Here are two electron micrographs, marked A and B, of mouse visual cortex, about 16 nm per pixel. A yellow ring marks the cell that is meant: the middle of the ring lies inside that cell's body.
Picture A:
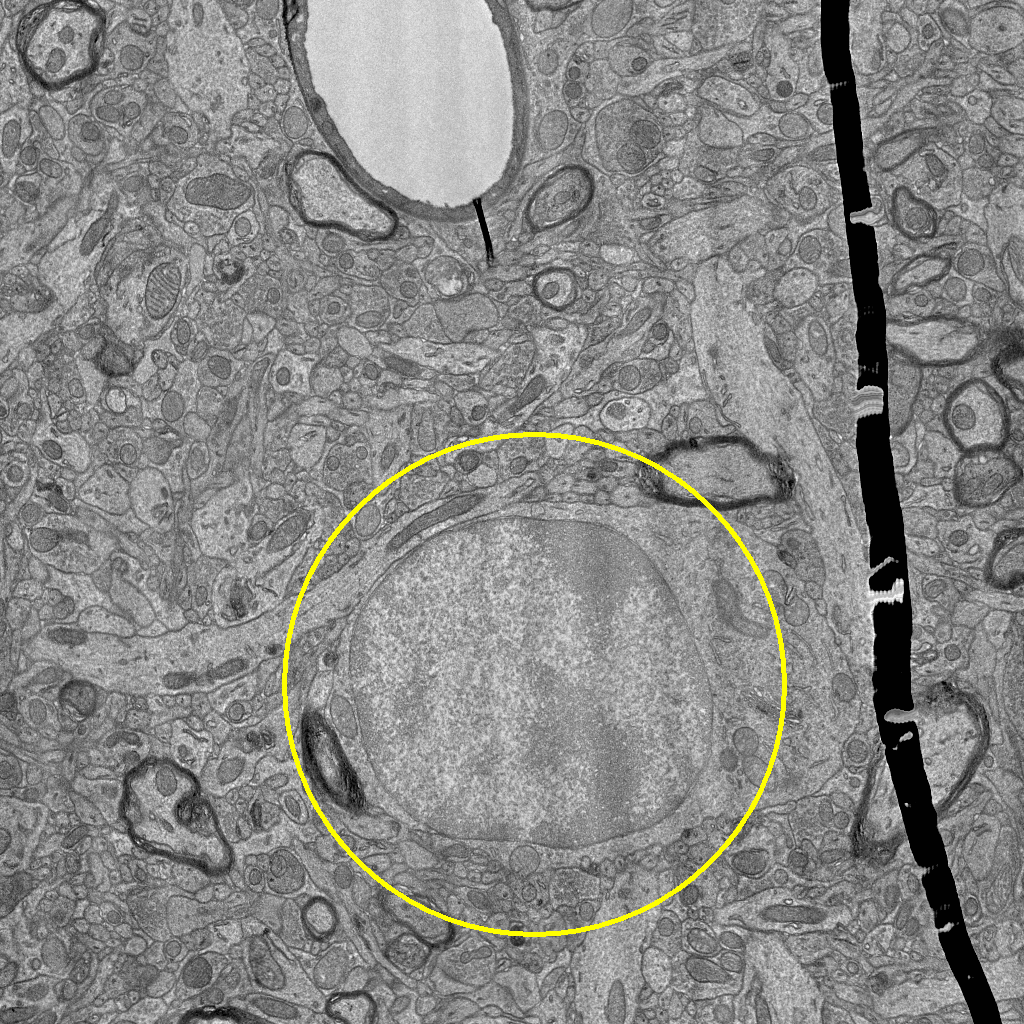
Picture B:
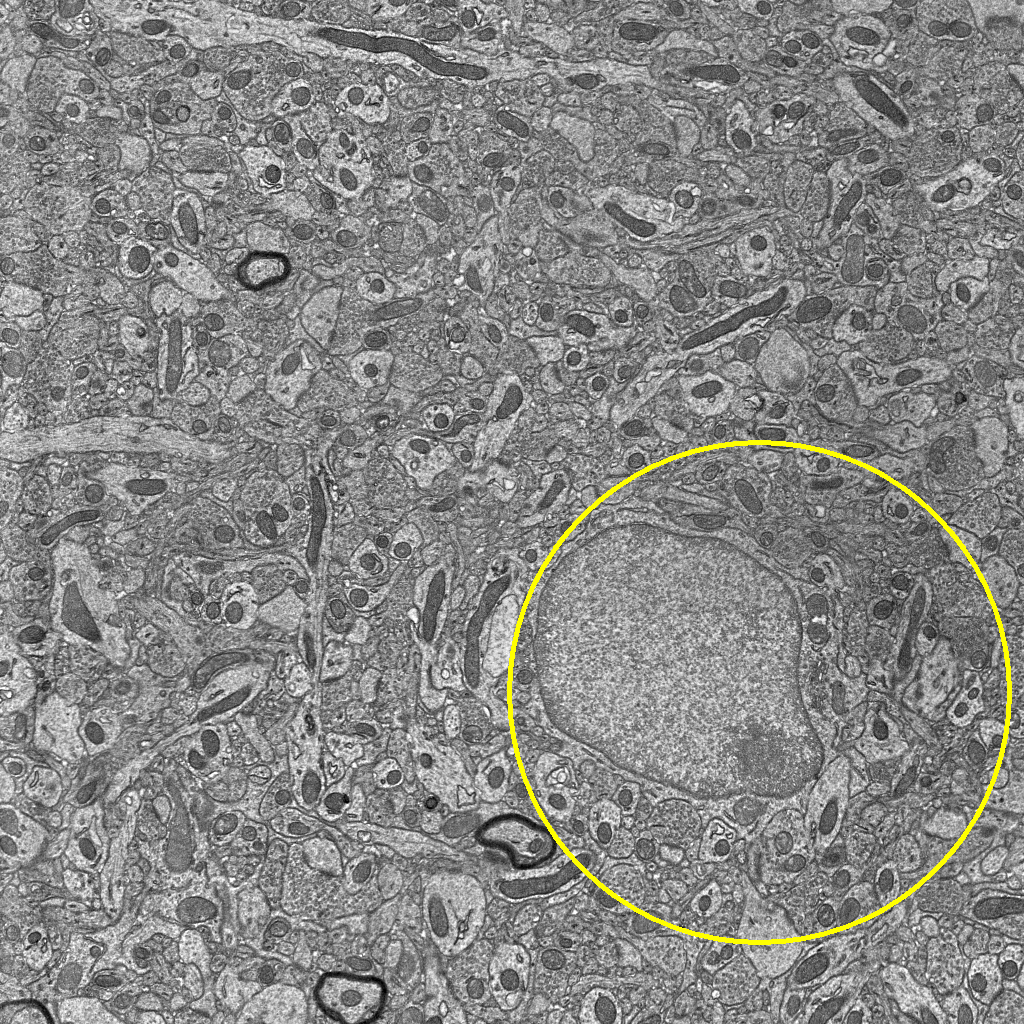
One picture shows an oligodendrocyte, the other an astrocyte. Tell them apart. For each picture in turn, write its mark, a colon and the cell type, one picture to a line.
A: oligodendrocyte
B: astrocyte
